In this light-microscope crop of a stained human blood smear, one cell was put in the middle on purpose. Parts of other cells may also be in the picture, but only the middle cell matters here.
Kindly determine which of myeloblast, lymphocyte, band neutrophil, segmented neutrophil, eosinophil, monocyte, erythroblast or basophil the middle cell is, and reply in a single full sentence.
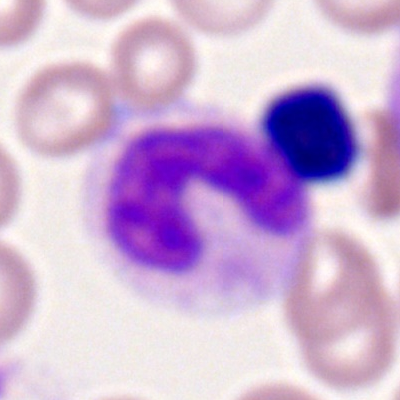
In the middle of this smear crop is a band neutrophil.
